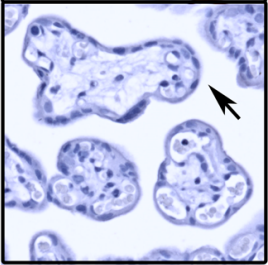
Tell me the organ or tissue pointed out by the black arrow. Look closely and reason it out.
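The arrow points at the thin outer layer lining the edge of a villus profile. The outer rim carries a row of blue-stained nuclei and borders the empty intervillous space.
Answer: placental trophoblast cell layer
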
